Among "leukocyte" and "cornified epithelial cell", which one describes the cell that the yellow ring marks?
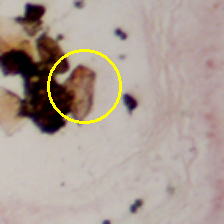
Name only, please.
cornified epithelial cell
